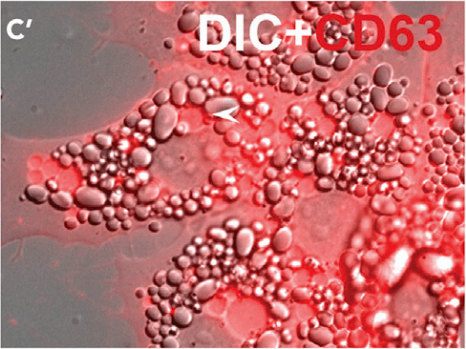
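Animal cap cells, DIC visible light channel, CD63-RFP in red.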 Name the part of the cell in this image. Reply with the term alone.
Yolk platelets.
